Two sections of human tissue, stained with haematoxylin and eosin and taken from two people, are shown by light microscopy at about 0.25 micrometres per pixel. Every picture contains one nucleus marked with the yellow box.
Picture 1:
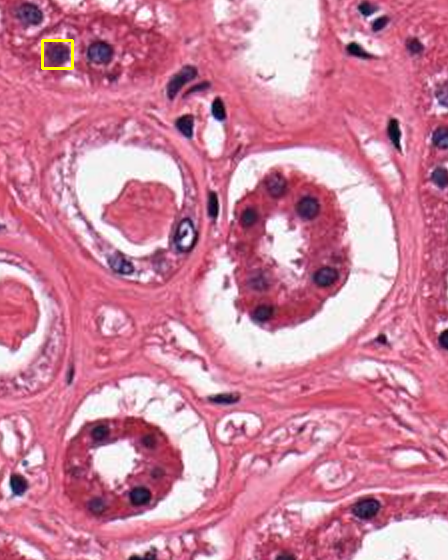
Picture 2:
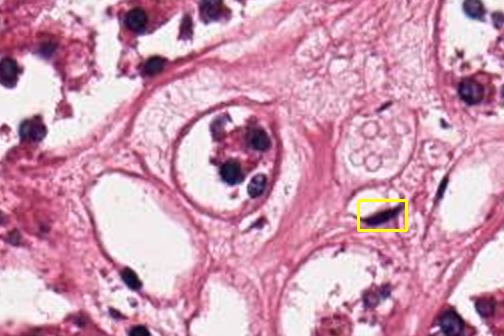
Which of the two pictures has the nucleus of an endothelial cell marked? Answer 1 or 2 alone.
2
